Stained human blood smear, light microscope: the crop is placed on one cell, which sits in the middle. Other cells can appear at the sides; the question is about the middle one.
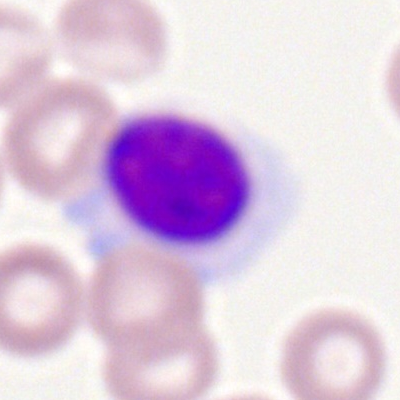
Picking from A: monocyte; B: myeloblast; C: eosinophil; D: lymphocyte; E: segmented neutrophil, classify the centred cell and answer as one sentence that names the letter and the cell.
Located in the middle of the crop is a lymphocyte, and option D is therefore correct.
